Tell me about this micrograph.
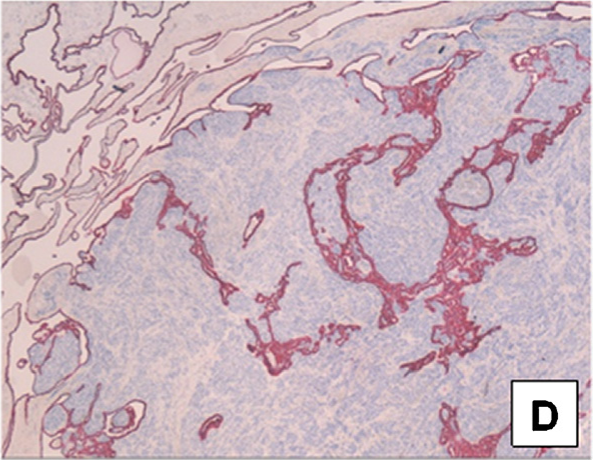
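Thin red-lined channels branch and join in an irregular network among broad sheets of blue-counterstained cells. At the upper left the channels are open and empty, while further in they are compressed and wrapped by the surrounding cellular sheets.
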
